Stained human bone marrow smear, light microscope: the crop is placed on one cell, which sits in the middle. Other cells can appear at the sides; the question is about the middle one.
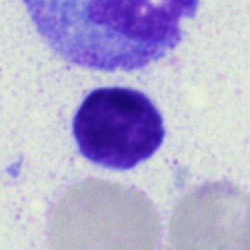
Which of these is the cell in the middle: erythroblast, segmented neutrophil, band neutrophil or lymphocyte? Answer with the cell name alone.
lymphocyte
